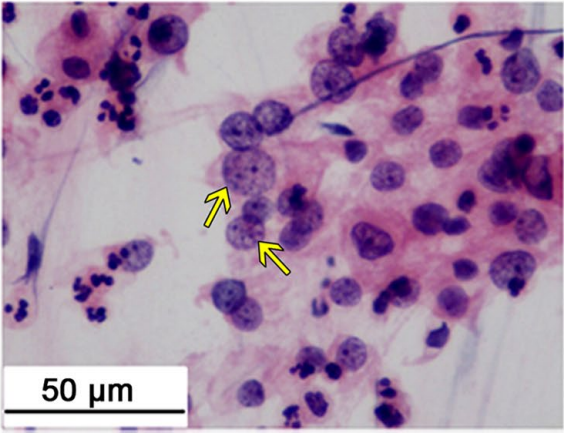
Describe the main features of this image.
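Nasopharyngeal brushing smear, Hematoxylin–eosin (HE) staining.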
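A crowded cluster of cells with large, round to oval purple nuclei and only a thin rim of pale pink cytoplasm dominates the middle and right of the field; the nuclei are much larger than those around them, have finely granular chromatin and show distinct nucleoli, and some overlap one another. To the left and below lie many small cells with dark, lobed nuclei, alone and in small groups, and a few pink-bodied cells at the top left. A thin blue fibre crosses the top. The cluster of large-nucleated cells with a high nuclear to cytoplasmic ratio and prominent nucleoli are carcinoma cells.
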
